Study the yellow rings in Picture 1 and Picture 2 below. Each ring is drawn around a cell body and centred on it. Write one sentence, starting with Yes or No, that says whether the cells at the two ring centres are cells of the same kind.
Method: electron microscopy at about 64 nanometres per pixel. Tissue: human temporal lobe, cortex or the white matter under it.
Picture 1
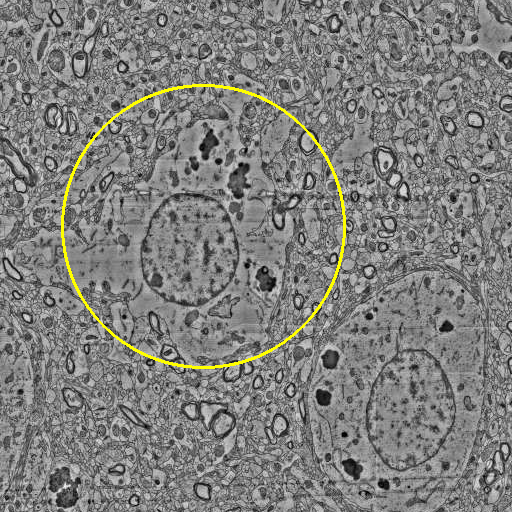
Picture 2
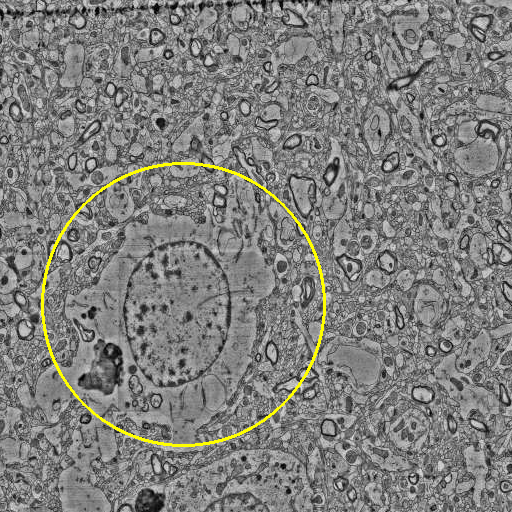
Yes, the cells at both ring centres are of the same kind.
